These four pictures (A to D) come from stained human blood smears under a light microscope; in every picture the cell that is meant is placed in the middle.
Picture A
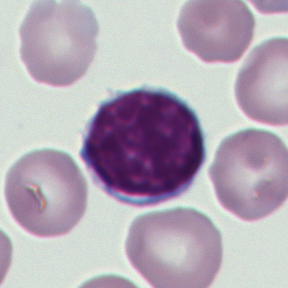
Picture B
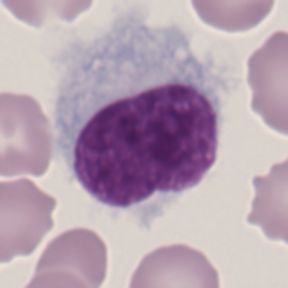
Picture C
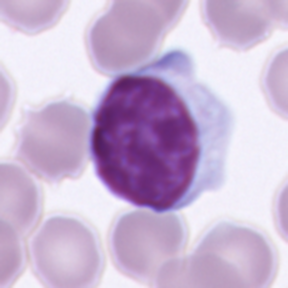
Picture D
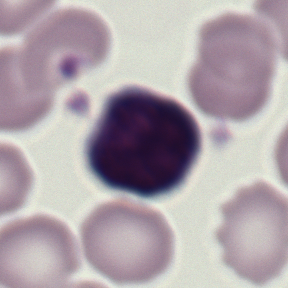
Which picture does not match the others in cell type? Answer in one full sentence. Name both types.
The different one is picture B; it shows a hairy cell, whereas all the others show typical lymphocytes.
